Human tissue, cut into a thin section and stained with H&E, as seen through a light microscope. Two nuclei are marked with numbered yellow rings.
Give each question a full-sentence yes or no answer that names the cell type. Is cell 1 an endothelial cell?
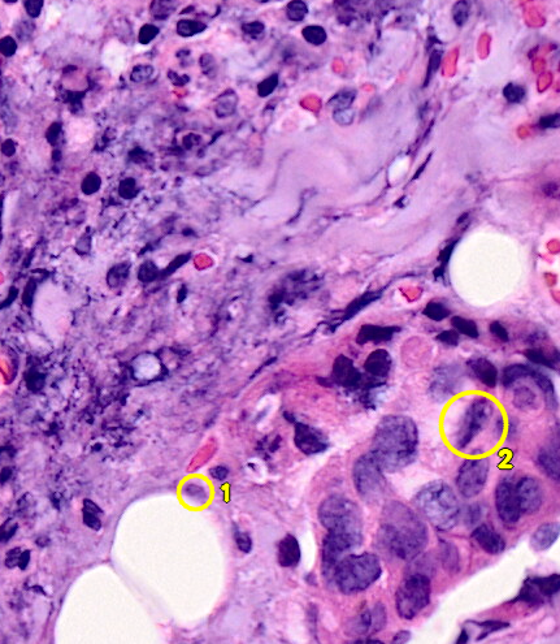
Yes, the cell tagged with number 1 is an endothelial cell.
